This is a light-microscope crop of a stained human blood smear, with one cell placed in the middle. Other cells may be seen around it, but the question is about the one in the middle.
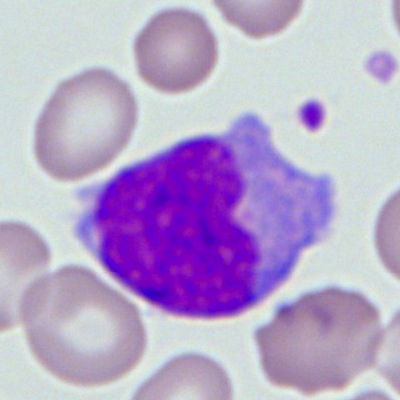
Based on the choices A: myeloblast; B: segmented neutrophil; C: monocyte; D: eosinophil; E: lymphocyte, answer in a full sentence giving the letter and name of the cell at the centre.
The cell in the centre of the crop is a monocyte, so option C is the correct one.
